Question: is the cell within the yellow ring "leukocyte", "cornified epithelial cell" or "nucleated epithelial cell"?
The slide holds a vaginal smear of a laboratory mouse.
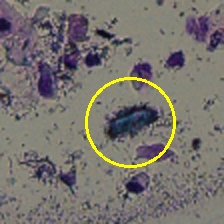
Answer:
cornified epithelial cell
